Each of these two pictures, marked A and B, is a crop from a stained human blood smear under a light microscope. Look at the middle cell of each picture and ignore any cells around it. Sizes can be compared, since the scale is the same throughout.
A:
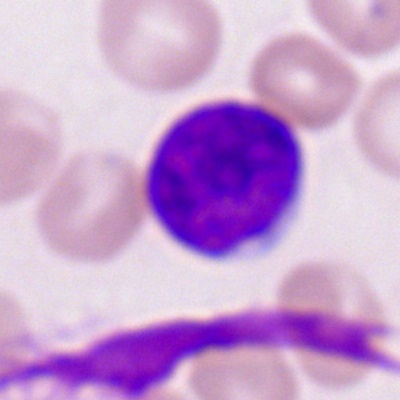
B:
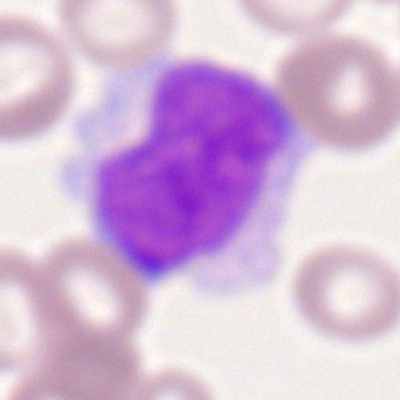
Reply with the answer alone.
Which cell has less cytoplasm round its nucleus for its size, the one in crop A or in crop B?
A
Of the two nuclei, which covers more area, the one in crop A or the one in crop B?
B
